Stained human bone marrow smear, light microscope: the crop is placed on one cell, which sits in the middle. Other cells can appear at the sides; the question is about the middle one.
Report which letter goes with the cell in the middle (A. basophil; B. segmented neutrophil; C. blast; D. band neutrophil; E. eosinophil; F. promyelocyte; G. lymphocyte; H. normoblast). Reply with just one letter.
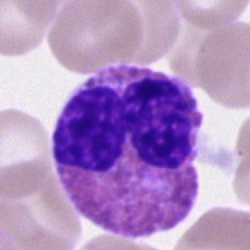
E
